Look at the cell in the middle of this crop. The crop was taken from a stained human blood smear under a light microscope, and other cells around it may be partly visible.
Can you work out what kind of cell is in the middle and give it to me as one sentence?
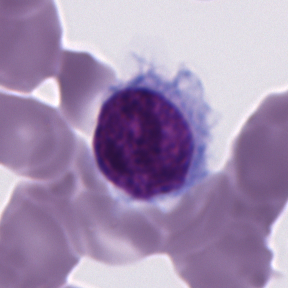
Centrally within this crop lies a hairy cell.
